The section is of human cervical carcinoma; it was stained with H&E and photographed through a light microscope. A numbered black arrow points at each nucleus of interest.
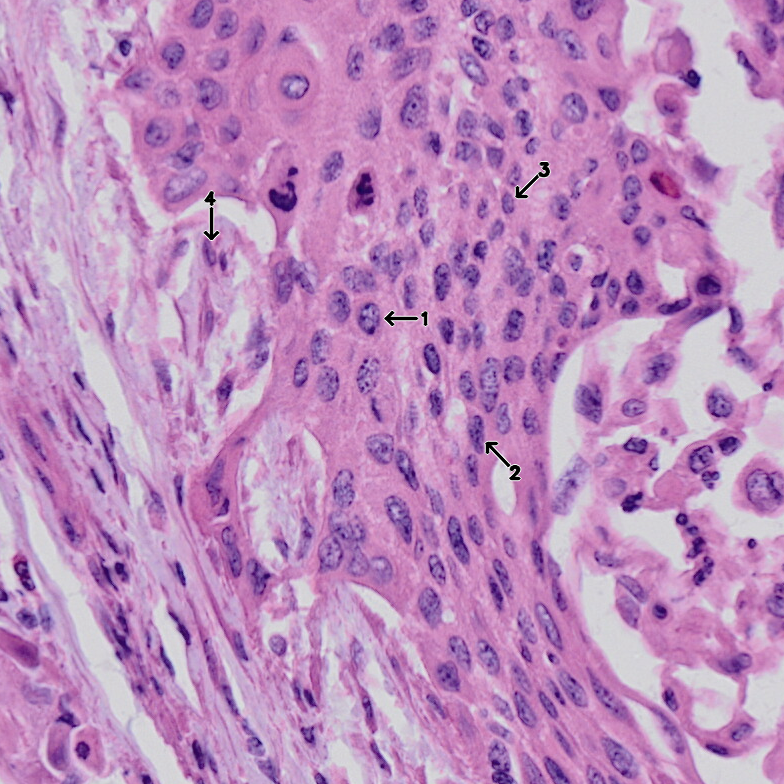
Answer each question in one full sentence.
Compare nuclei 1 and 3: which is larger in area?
The larger nucleus is 1, at roughly 3 times the area of 3.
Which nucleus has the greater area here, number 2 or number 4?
At about 2.5 times the area of nucleus 4, nucleus 2 is the larger of the two.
